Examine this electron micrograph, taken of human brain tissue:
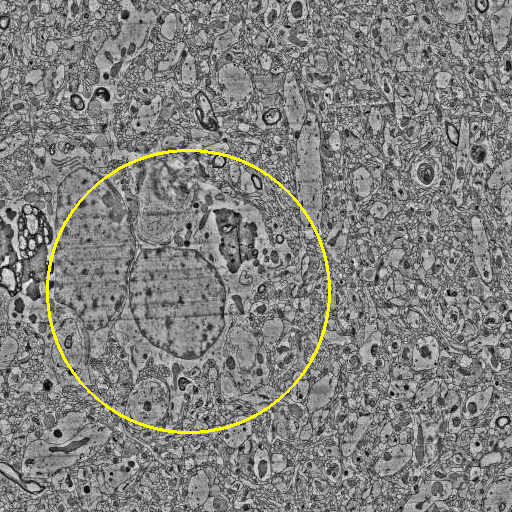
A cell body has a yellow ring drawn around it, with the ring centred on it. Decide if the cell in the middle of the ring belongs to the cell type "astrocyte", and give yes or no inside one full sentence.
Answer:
Yes, the cell at the centre of the yellow ring in this picture is of that type.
